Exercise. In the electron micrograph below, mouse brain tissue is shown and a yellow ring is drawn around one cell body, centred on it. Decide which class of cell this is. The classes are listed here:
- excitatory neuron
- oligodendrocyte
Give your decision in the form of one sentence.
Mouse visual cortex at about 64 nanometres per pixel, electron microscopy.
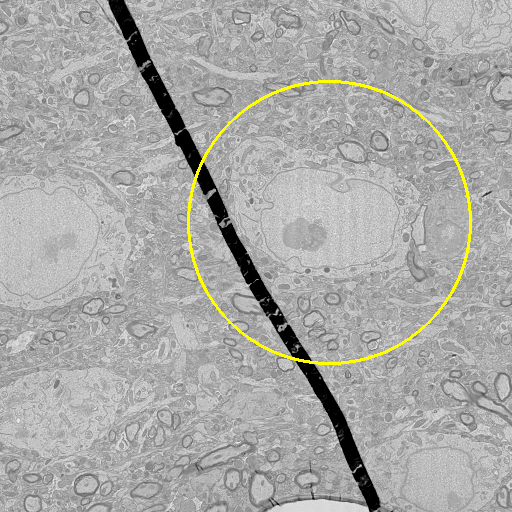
The cell body marked by the ring belongs to an excitatory neuron.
